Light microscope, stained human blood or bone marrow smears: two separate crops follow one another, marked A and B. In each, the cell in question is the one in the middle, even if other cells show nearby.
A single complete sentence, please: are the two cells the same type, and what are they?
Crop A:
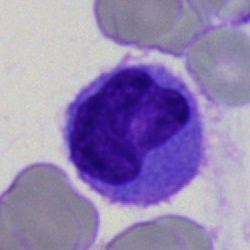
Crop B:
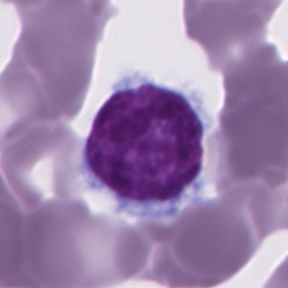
No, crop A features a monocyte, and crop B features a hairy cell.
